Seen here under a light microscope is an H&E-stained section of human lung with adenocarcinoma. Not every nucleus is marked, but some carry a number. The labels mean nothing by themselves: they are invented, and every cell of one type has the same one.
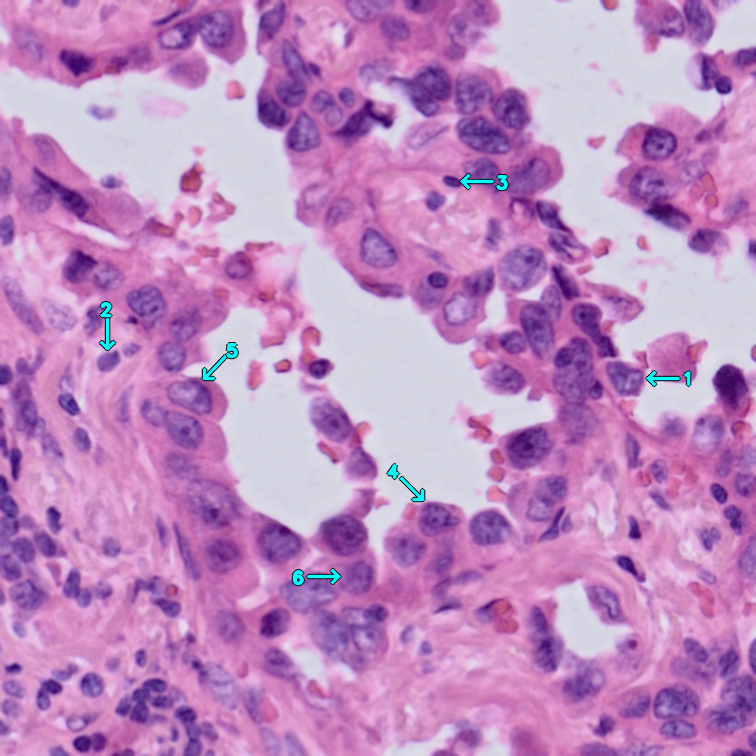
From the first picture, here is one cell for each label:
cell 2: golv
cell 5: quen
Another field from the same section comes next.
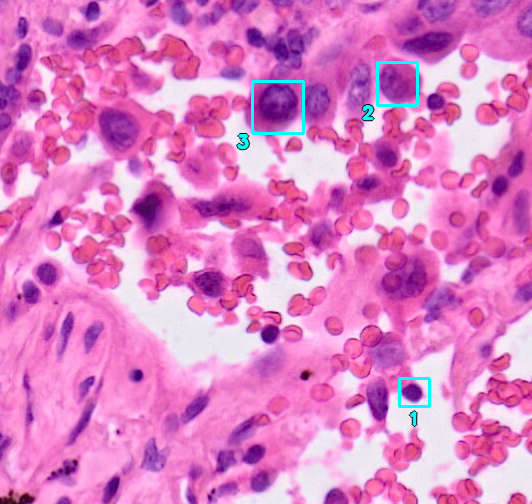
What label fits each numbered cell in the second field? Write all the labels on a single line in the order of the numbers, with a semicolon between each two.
golv; quen; quen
